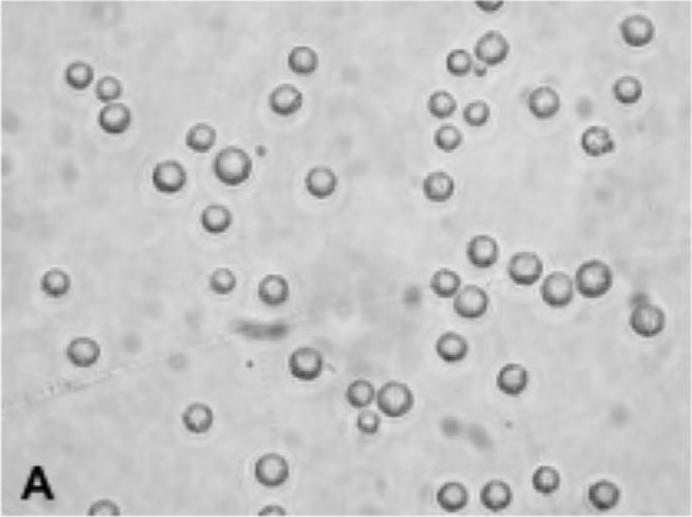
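The cells are of fairly uniform small size. Irregular or enlarged forms are rare. The background holds little debris.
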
